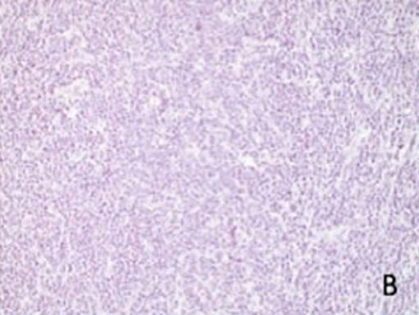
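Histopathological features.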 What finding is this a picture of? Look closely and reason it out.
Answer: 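Diffuse distribution. Closely packed cells form a continuous sheet without nodules or follicles.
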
